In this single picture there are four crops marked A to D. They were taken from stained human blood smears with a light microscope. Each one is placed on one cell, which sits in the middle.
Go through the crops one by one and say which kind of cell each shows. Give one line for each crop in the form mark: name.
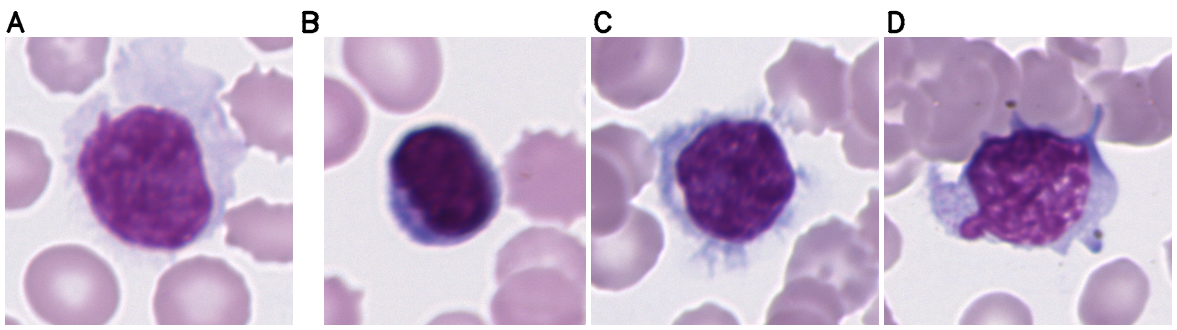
A: hairy cell
B: typical lymphocyte
C: hairy cell
D: typical lymphocyte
